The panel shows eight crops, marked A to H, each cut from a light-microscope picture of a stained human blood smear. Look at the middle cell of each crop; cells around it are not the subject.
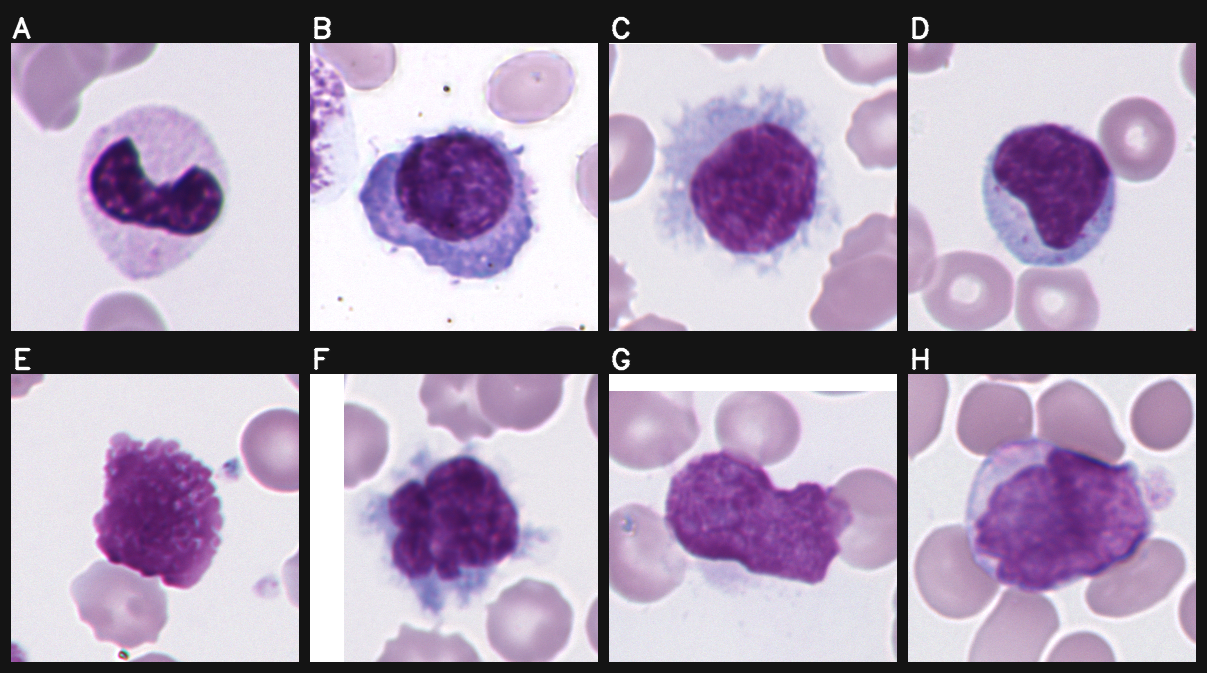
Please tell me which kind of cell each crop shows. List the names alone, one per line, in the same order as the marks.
band neutrophil
plasma cell
hairy cell
large granular lymphocyte
smudge cell
hairy cell
smudge cell
atypical promyelocyte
